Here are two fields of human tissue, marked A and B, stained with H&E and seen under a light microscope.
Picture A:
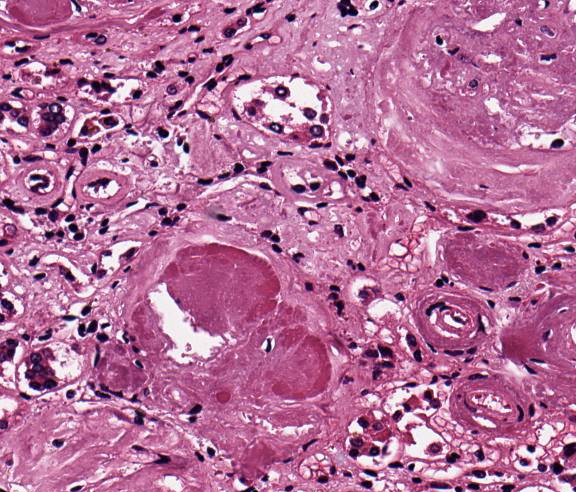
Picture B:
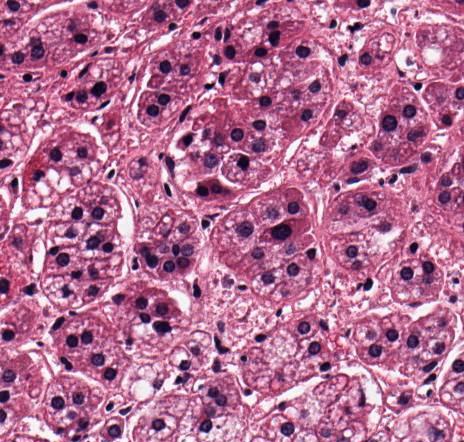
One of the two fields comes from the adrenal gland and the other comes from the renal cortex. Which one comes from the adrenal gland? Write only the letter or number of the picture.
B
